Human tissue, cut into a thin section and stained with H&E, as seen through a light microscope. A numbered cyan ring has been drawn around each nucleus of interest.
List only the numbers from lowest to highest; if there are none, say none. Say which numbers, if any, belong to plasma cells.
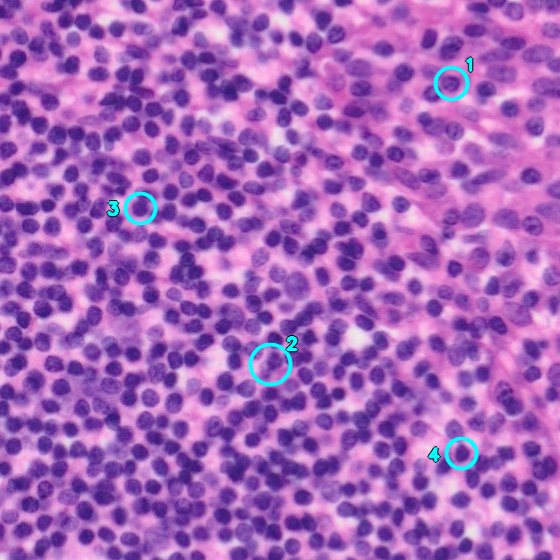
1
